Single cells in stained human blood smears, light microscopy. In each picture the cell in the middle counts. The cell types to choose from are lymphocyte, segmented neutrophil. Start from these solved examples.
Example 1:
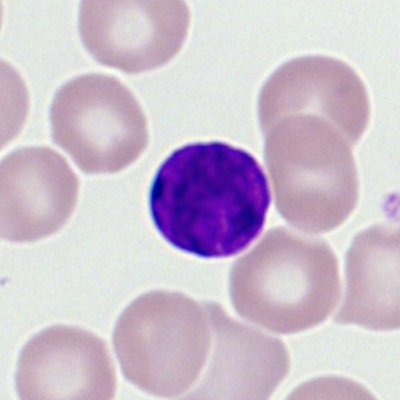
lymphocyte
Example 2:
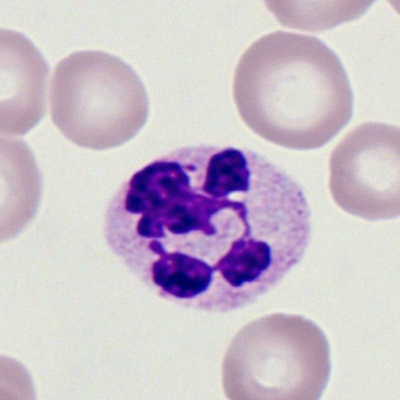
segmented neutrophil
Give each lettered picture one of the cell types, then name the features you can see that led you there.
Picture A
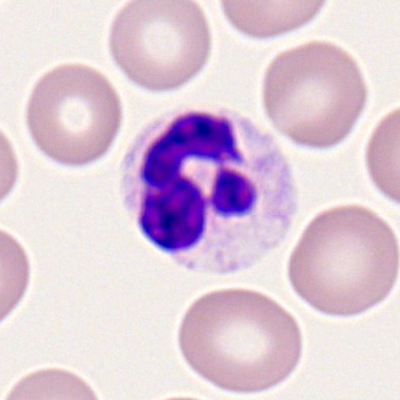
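segmented neutrophil. Evidence: The nucleus is split into separate lobes rather than forming one mass.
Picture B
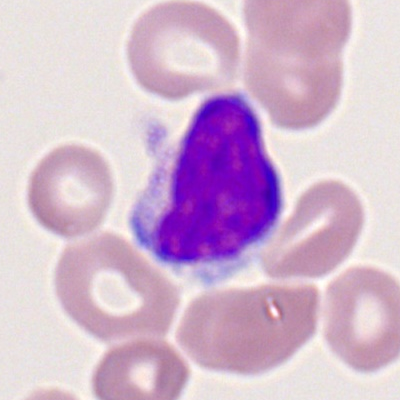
lymphocyte. Evidence: The nucleus is a single unlobed mass that fills most of the cell.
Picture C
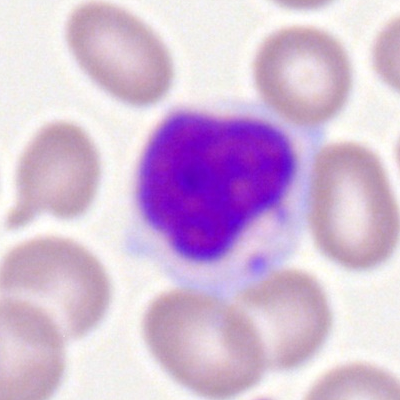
lymphocyte. Evidence: The nucleus fills most of the cell.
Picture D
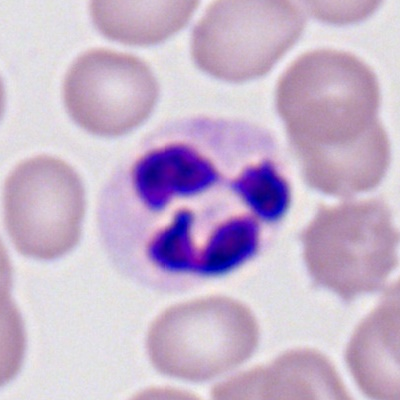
segmented neutrophil. Evidence: The cytoplasm is plentiful and pale pinkish-lilac.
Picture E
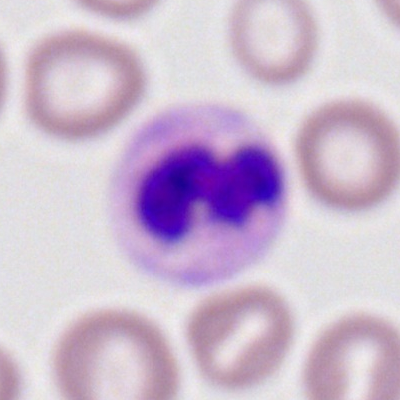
segmented neutrophil. Evidence: The cytoplasm is plentiful and pale pinkish-lilac.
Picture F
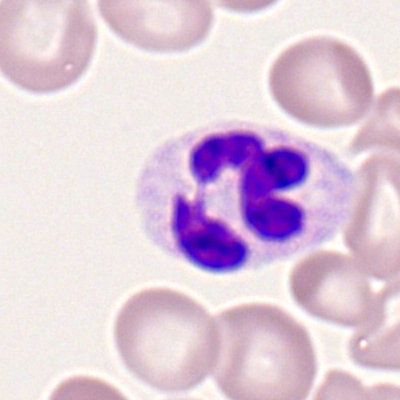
segmented neutrophil. Evidence: The nucleus is divided into several separate lobes rather than forming a single mass.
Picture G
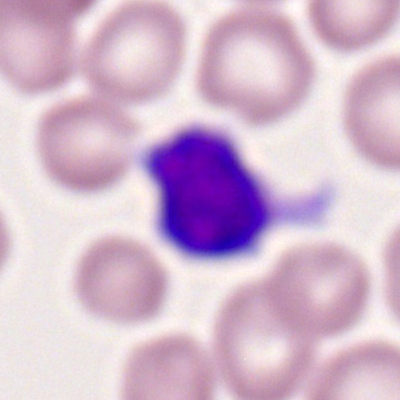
lymphocyte. Evidence: The nucleus fills almost the whole cell body.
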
